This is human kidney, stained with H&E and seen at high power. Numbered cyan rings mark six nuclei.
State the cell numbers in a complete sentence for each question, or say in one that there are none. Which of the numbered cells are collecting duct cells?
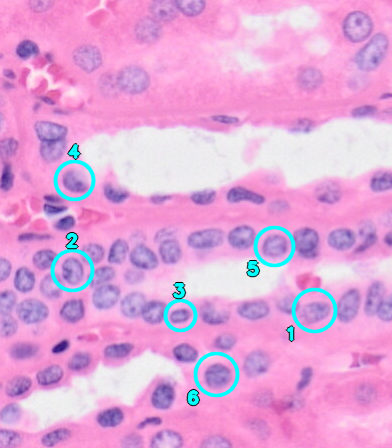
In terms of cell type, cells 1, 2, 3 and 5 are collecting duct cells.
